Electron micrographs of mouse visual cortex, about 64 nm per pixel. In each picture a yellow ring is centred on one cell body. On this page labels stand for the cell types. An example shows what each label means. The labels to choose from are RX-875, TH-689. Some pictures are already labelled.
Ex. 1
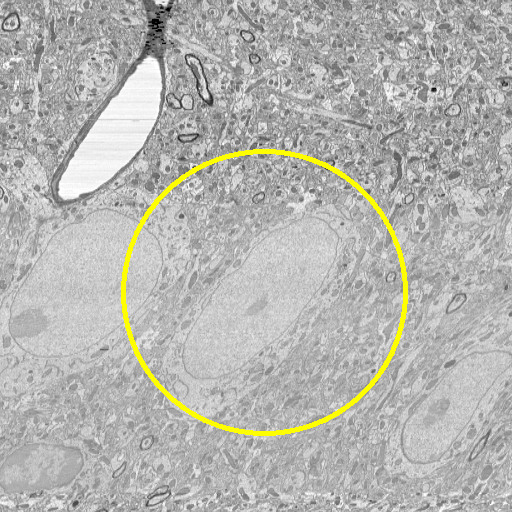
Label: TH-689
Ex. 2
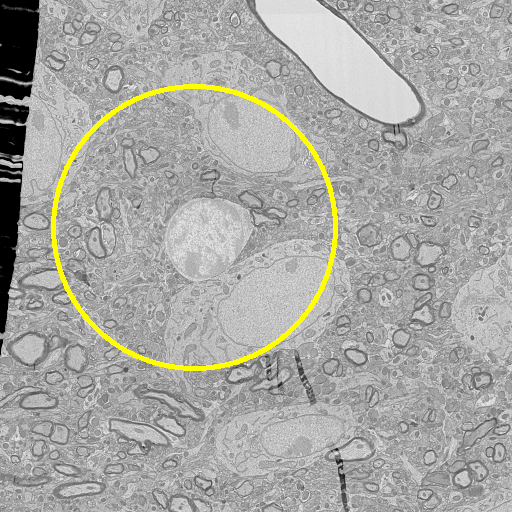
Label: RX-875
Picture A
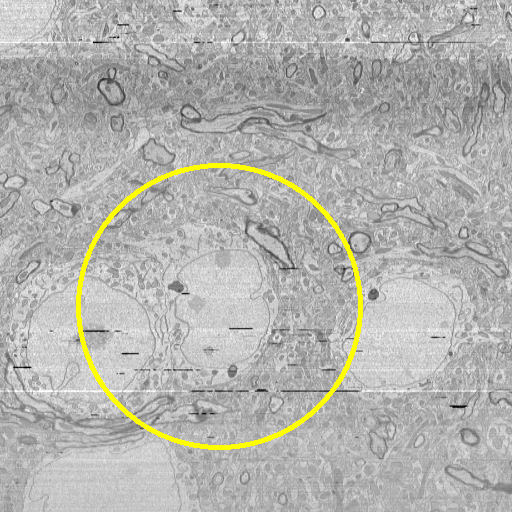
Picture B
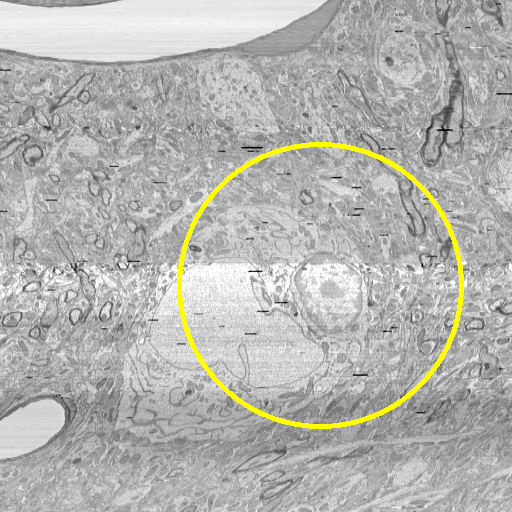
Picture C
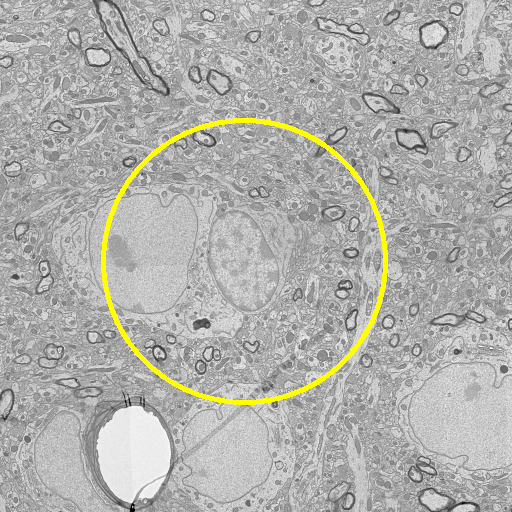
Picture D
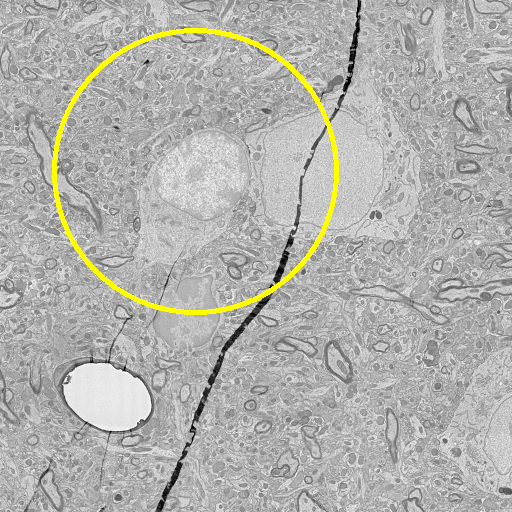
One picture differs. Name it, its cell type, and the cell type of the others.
A (TH-689) is the exception; every other picture is RX-875.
